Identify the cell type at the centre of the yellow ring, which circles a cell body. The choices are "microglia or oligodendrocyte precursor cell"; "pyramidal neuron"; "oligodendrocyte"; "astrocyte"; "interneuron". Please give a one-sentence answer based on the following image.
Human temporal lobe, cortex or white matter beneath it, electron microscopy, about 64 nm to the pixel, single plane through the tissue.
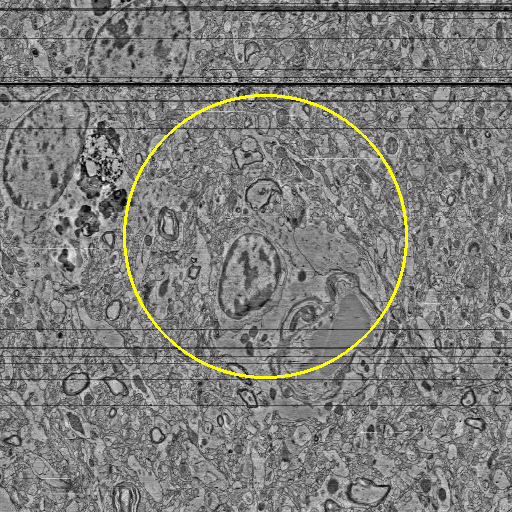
The cell marked by the ring is a microglial cell or oligodendrocyte precursor cell.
